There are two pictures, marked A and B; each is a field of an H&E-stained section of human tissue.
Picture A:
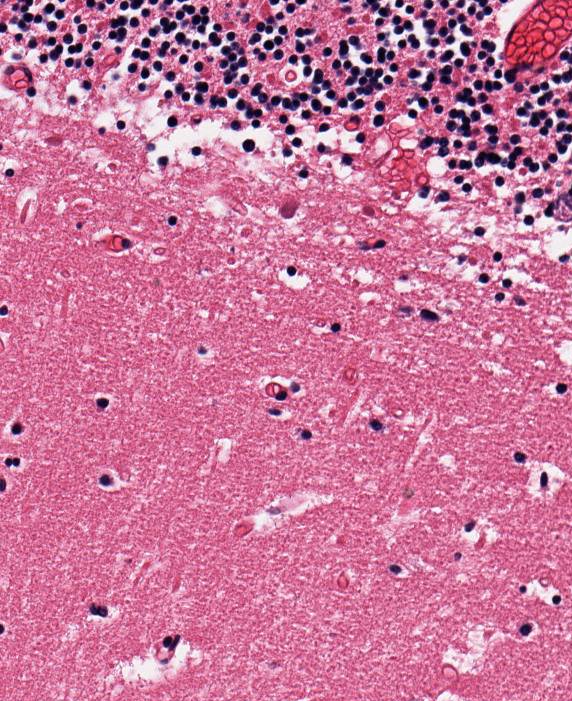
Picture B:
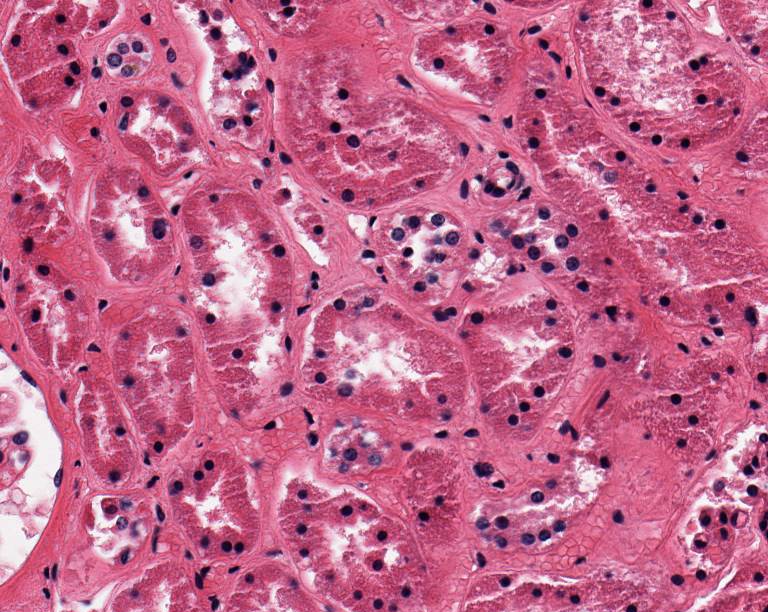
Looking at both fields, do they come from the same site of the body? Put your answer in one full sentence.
No, picture A comes from the cerebellum and picture B comes from the renal cortex.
